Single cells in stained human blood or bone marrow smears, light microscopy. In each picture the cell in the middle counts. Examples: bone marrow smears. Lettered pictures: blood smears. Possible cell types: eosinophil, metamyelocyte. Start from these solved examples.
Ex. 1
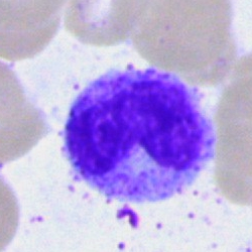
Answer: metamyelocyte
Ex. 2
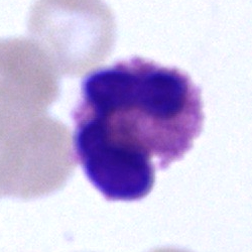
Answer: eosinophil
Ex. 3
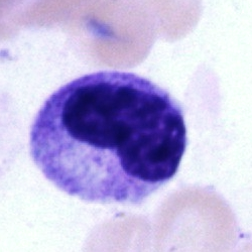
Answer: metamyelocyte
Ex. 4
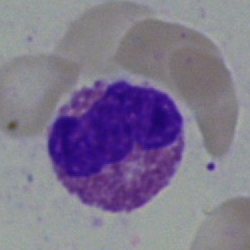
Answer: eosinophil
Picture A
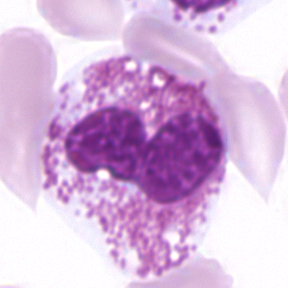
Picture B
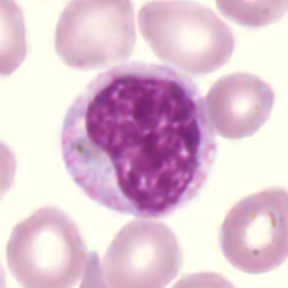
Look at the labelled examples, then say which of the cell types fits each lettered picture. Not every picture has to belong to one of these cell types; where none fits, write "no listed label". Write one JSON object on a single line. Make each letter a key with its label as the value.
{"A": "eosinophil", "B": "metamyelocyte"}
